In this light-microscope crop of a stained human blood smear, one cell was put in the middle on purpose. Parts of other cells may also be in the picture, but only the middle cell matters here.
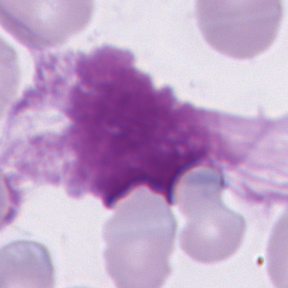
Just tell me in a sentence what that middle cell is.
Here the cell in the middle is a smudge cell.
